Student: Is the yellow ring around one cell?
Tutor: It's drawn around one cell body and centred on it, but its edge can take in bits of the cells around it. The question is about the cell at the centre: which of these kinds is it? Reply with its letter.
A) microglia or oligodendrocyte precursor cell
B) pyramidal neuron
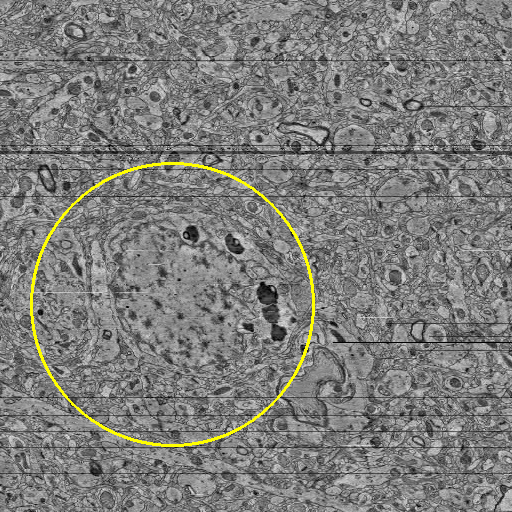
A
